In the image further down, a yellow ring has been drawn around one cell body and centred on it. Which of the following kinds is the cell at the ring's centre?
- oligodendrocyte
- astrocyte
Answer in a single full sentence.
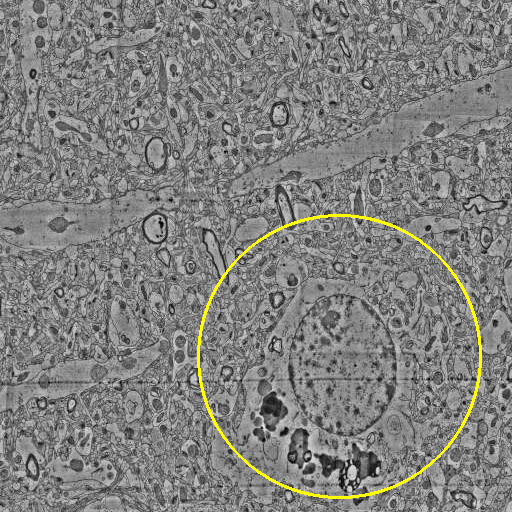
In the picture, the cell sitting at the centre of the yellow ring is an astrocyte.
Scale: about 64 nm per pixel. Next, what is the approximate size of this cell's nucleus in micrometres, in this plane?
About 9 by 7 micrometres in this plane.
